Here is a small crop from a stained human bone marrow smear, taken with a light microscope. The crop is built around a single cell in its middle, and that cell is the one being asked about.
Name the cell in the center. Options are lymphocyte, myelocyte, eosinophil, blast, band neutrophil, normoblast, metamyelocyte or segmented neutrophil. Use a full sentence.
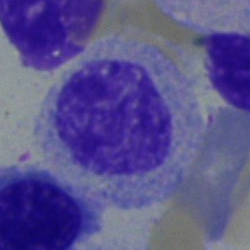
The cell the crop is centered on is a myelocyte.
